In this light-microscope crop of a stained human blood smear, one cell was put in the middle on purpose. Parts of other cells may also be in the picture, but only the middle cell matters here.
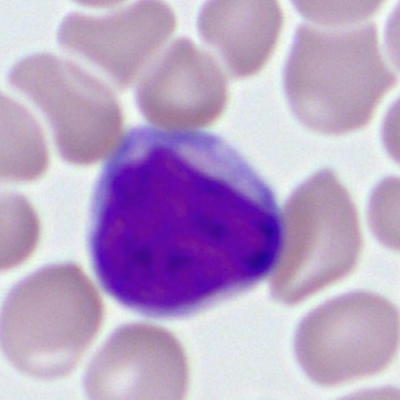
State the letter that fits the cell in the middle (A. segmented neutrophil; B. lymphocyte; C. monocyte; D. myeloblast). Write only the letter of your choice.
D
